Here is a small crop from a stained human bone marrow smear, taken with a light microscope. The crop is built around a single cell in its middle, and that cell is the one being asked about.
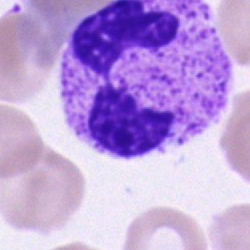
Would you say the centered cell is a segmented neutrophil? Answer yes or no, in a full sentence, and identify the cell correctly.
Yes, the identification of the central cell as a segmented neutrophil is correct.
